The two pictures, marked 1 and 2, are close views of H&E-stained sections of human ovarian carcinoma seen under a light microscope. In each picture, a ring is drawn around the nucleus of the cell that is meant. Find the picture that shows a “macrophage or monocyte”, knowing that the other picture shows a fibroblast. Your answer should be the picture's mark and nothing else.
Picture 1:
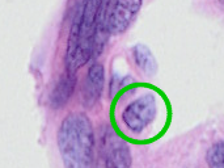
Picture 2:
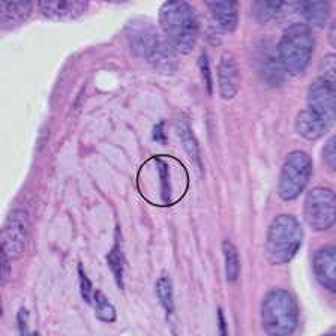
1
